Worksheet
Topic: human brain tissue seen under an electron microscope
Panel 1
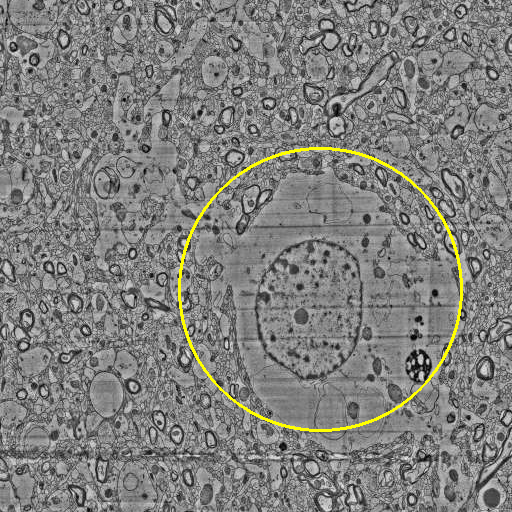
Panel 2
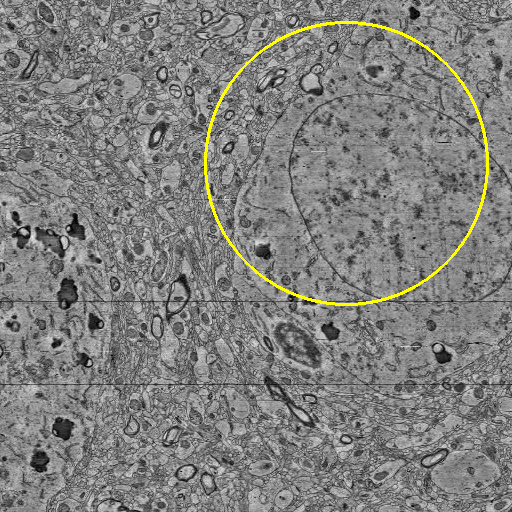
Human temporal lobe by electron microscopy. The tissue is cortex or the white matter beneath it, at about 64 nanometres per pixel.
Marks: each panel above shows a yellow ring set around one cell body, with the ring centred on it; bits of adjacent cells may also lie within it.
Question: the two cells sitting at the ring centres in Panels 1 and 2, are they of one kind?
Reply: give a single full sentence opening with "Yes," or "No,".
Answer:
No, the two ring-centre cells in Panel 1 and Panel 2 are of two kinds.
